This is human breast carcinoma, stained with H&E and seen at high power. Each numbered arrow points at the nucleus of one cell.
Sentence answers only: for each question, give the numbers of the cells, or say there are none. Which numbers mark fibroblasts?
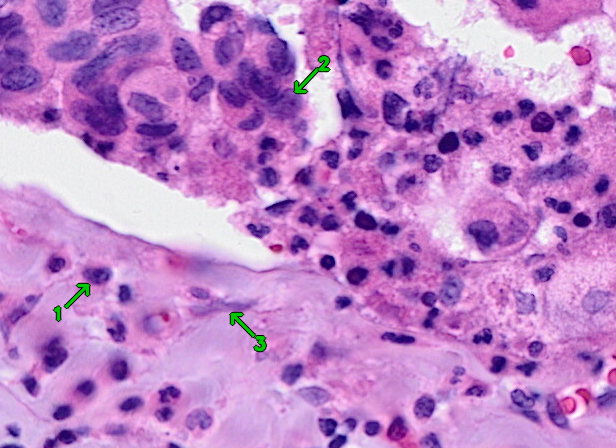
Cell 3 is a fibroblast, and that holds for no other numbered cell.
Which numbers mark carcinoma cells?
Among the marked cells, a carcinoma cell is found only at number 2.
